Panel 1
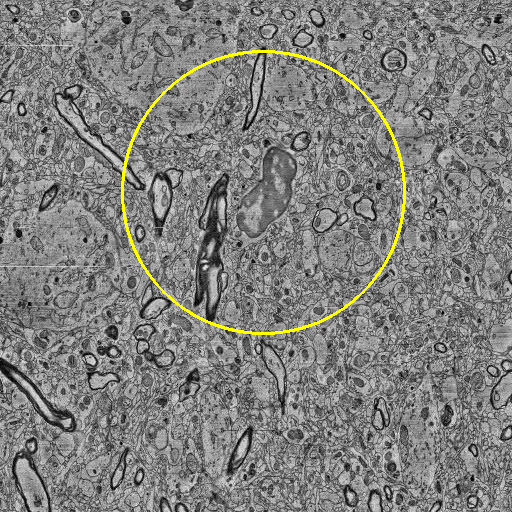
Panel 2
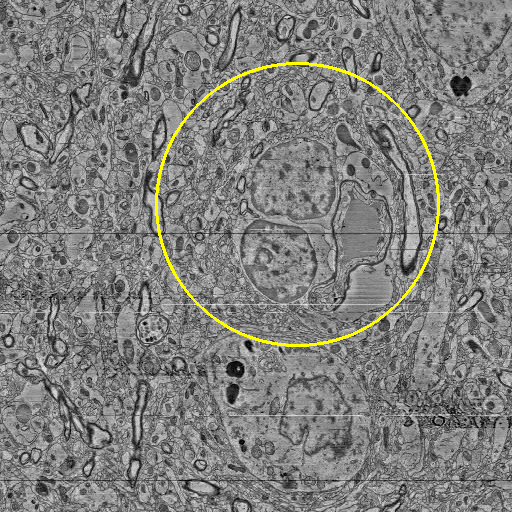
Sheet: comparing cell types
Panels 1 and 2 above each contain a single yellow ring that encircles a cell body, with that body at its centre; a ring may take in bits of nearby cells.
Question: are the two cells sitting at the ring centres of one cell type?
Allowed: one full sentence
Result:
No, the ring-centre cells in Panel 1 and Panel 2 are of two types.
